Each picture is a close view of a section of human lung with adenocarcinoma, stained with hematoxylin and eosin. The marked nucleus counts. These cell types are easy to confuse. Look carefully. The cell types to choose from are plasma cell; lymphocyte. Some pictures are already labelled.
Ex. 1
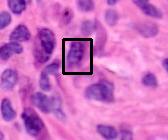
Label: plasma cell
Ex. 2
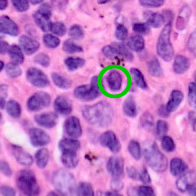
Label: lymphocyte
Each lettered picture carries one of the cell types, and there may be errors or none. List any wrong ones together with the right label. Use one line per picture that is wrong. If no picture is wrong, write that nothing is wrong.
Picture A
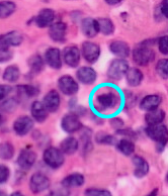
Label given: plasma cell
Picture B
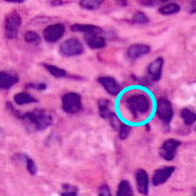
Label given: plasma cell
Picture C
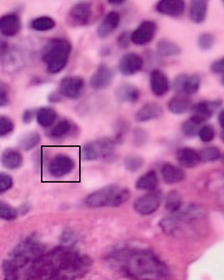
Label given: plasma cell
A: change plasma cell to lymphocyte
C: change plasma cell to lymphocyte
